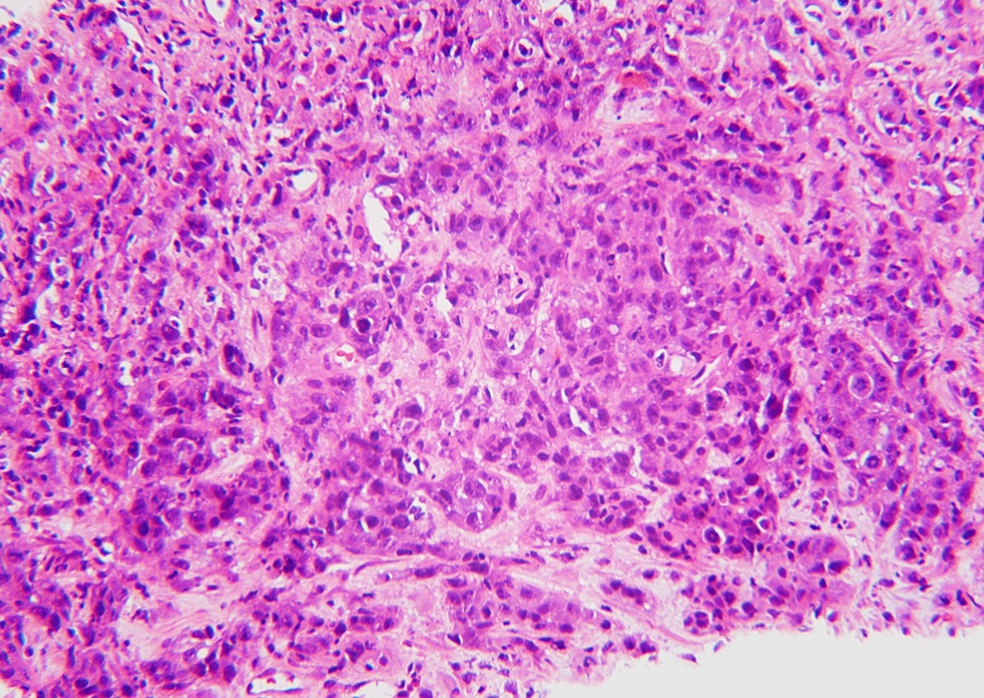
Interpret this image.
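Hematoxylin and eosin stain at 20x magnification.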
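This field is taken up by tumor cells growing in crowded nests and sheets, with thin strands of pale pink fibrous tissue running between the groups. The nuclei are large and stain deep purple, and they vary a good deal in size and shape from one cell to the next. In some of the larger nuclei a distinct dark nucleolus can be picked out against a paler background. Around the nuclei each cell has a moderate rim of pink cytoplasm, and the cell borders are often hard to make out, so the cells seem to merge into one another. Here and there small clear spaces and a few red blood cells lie among the tumor cells.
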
